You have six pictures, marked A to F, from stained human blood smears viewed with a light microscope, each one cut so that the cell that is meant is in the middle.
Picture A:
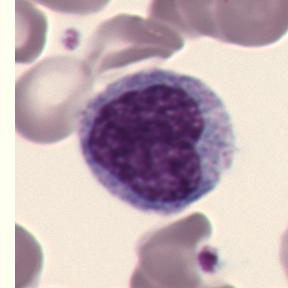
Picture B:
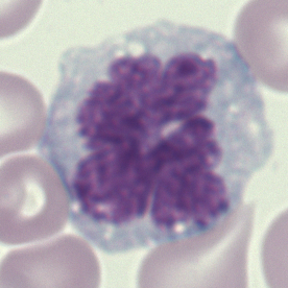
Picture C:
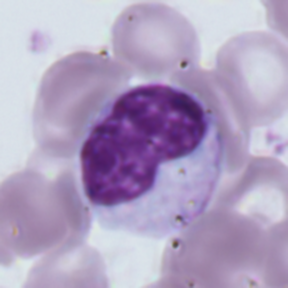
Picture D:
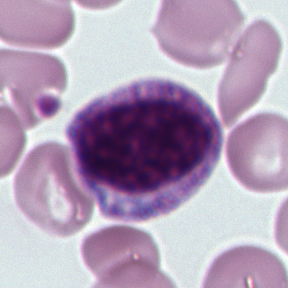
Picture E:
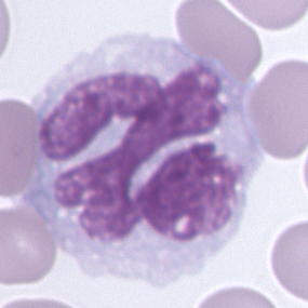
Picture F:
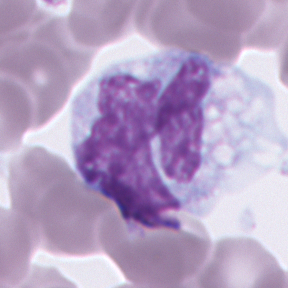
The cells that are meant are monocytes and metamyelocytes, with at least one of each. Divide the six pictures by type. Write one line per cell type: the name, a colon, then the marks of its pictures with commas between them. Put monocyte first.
monocyte: A, B, E, F
metamyelocyte: C, D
